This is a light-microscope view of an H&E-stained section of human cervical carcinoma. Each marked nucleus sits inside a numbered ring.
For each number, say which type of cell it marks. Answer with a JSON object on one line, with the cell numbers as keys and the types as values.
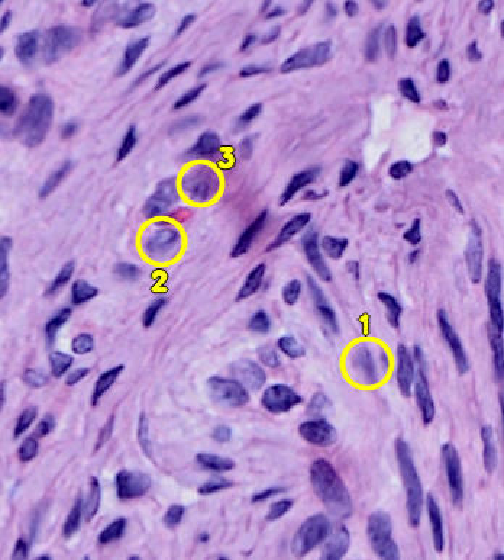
{"1": "fibroblast", "2": "endothelial cell", "3": "endothelial cell"}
